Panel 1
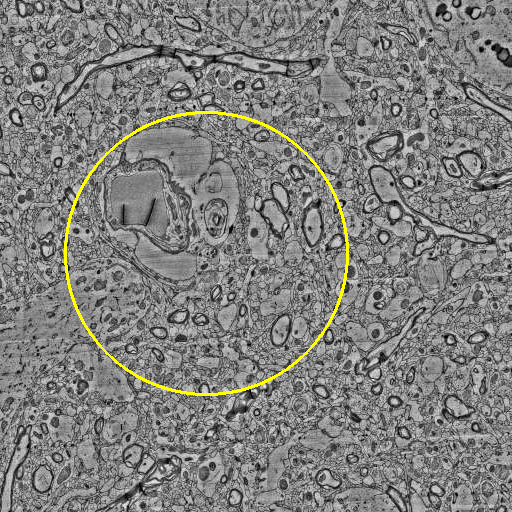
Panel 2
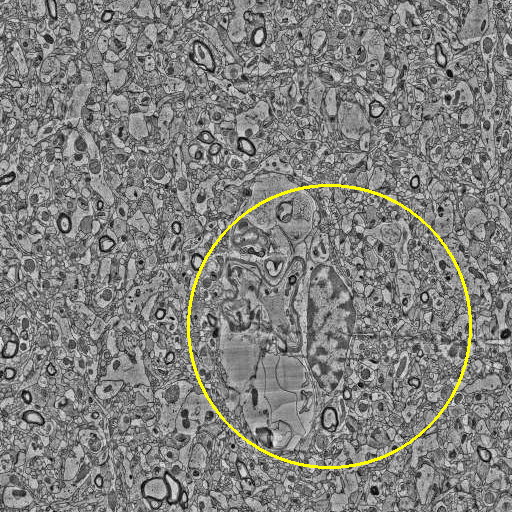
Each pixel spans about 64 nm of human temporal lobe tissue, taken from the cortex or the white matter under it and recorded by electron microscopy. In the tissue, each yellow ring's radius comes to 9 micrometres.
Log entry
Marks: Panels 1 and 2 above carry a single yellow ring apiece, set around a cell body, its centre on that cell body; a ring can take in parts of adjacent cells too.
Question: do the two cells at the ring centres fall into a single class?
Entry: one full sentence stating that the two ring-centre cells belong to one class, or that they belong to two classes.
The two ring-centre cells in Panels 1 and 2 belong to one class.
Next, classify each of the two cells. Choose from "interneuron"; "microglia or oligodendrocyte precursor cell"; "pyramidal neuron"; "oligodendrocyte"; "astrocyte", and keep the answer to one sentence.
Both cells are the same kind, each one being a microglial cell or oligodendrocyte precursor cell.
